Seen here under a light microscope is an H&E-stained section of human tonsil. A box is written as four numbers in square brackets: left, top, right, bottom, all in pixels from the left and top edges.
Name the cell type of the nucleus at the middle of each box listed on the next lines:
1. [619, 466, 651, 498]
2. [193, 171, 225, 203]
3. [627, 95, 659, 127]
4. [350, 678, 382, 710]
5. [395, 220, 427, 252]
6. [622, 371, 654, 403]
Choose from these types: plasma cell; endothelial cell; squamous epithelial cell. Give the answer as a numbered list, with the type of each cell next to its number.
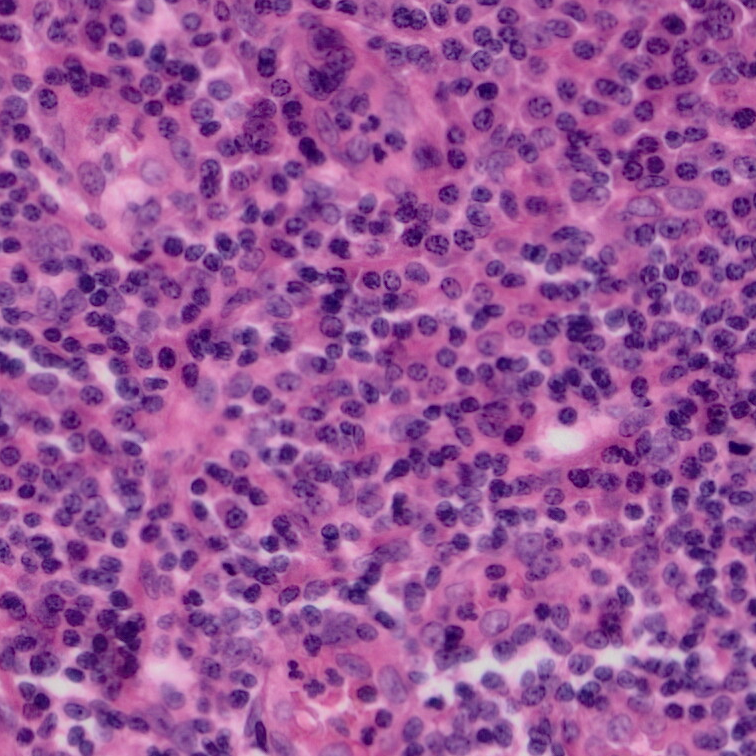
1. plasma cell
2. plasma cell
3. plasma cell
4. endothelial cell
5. plasma cell
6. endothelial cell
